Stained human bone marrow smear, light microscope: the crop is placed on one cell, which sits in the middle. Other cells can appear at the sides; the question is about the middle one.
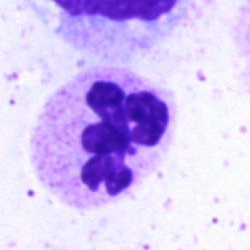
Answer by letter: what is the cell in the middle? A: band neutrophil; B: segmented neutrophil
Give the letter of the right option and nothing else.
B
